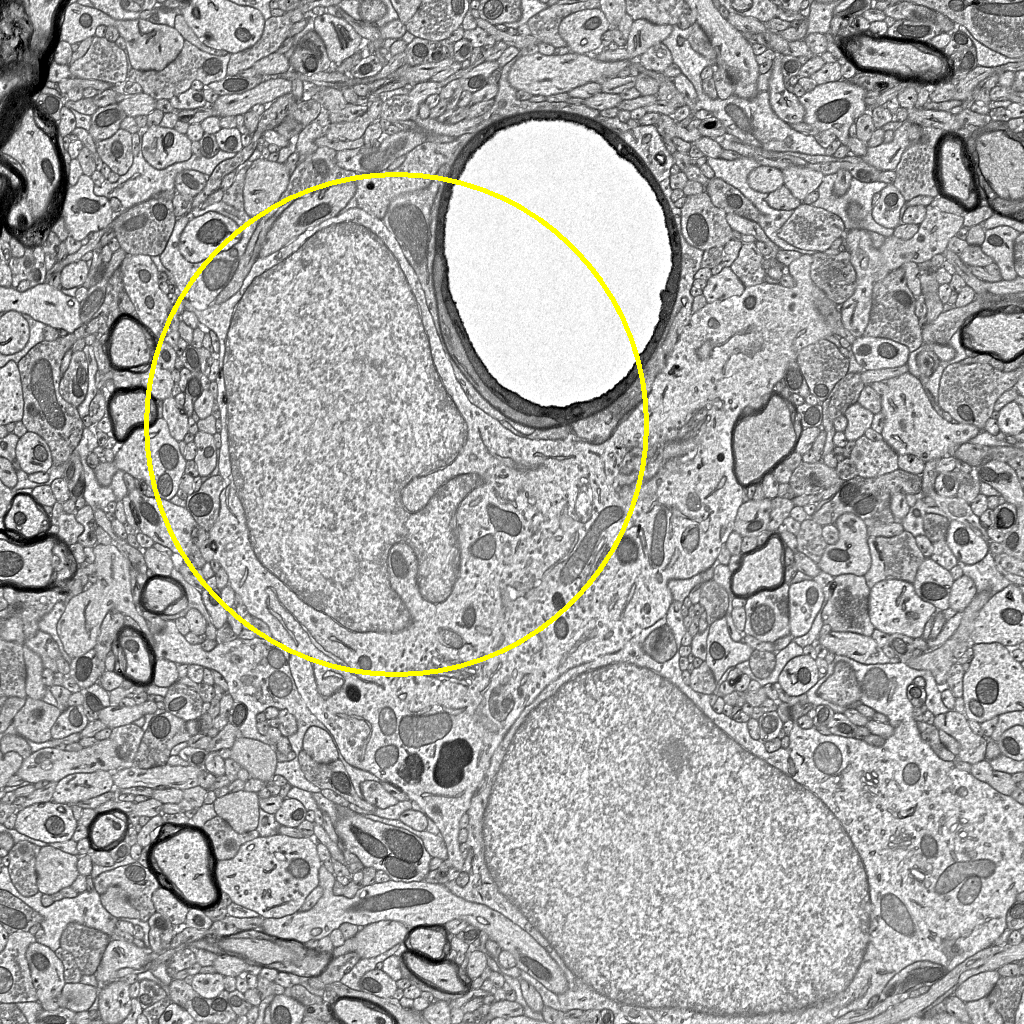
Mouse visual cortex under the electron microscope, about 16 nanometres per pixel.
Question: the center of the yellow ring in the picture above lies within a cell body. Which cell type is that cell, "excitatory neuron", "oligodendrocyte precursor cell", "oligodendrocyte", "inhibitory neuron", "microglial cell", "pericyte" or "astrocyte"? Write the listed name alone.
oligodendrocyte precursor cell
